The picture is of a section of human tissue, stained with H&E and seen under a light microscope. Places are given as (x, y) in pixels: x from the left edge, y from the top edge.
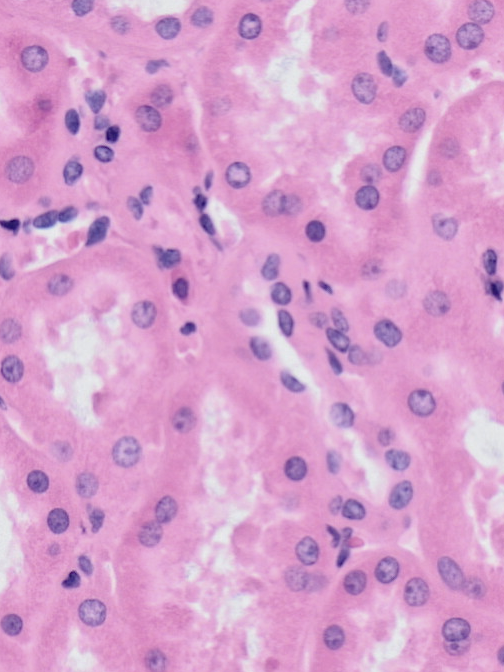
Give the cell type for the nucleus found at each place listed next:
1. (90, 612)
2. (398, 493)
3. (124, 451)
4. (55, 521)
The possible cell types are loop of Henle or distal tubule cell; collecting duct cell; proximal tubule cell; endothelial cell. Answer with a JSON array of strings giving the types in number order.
["proximal tubule cell", "collecting duct cell", "proximal tubule cell", "proximal tubule cell"]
